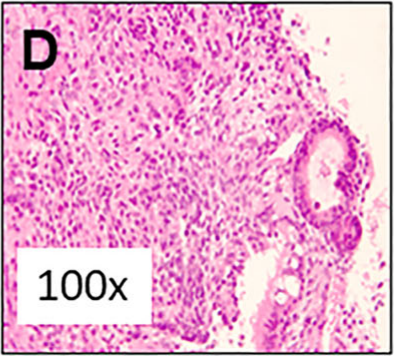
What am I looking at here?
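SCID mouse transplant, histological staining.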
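A dense mass of crowded undifferentiated cells with small oval to elongated nuclei occupies most of the field, stained pink with purple nuclei. At one edge a small round gland-like structure lined by epithelial cells around a lumen stands out from the disorganized cell sheet.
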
